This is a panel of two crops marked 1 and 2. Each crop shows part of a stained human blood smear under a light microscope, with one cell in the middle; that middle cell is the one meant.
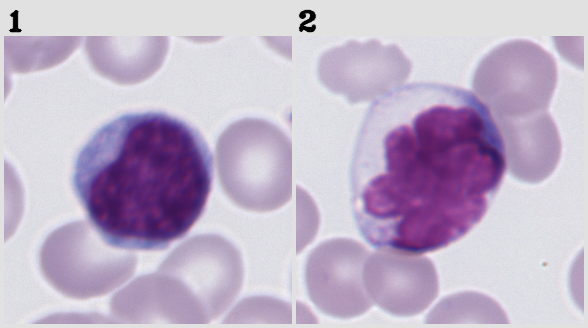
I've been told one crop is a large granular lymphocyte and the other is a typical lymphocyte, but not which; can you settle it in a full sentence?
Classification: crop 1 is a typical lymphocyte, crop 2 is a large granular lymphocyte.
